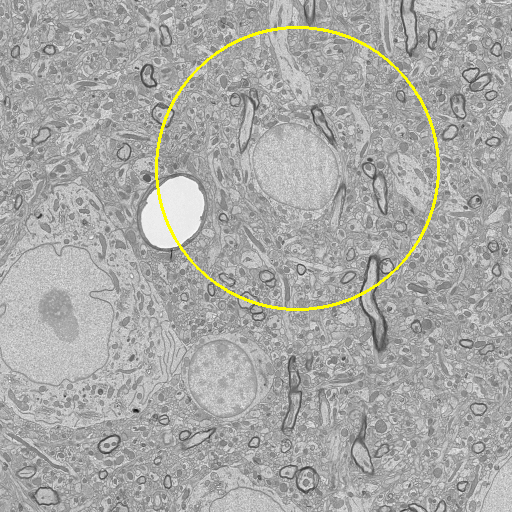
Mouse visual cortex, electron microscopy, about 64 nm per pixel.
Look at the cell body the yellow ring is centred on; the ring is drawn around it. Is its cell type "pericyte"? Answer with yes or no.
No, its cell type is another.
